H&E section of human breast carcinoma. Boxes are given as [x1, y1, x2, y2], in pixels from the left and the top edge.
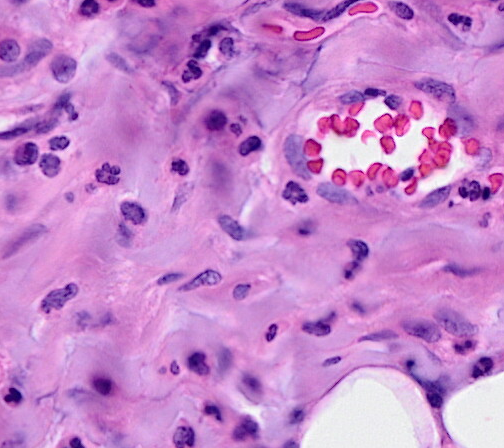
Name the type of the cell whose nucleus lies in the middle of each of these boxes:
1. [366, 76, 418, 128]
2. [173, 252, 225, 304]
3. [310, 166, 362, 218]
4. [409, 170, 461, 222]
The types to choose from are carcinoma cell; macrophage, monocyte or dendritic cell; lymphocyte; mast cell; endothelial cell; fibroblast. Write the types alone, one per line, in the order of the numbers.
endothelial cell
fibroblast
endothelial cell
endothelial cell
